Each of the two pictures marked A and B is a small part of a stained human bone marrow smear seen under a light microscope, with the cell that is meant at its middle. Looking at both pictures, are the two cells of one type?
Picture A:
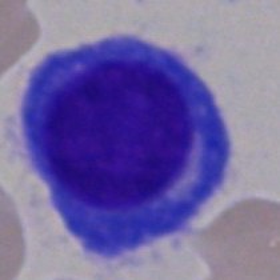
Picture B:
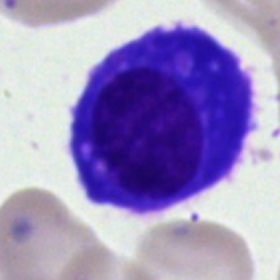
yes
